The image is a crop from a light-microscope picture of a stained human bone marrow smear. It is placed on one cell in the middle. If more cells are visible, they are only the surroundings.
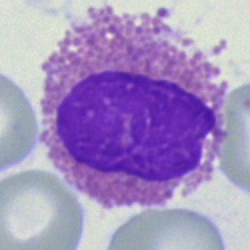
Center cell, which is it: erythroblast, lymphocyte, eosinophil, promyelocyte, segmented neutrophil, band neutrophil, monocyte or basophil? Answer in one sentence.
Centrally within this crop lies an eosinophil.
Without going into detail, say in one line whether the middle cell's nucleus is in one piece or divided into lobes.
Please observe that the nucleus consists of one compact round, oval or kidney-shaped mass.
